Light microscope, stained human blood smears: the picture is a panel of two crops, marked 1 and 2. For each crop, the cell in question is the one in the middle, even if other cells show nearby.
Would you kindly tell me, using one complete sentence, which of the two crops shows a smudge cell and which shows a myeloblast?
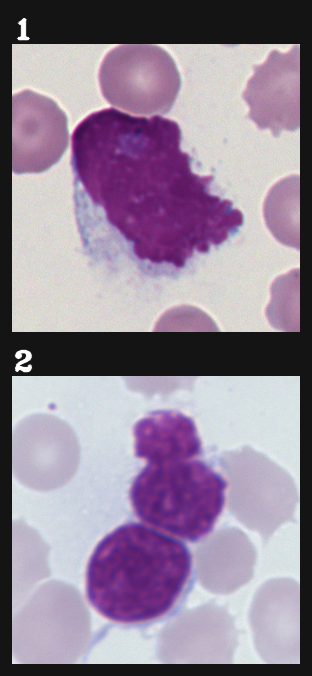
Crop 1 is to be read as a smudge cell and crop 2 as a myeloblast.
